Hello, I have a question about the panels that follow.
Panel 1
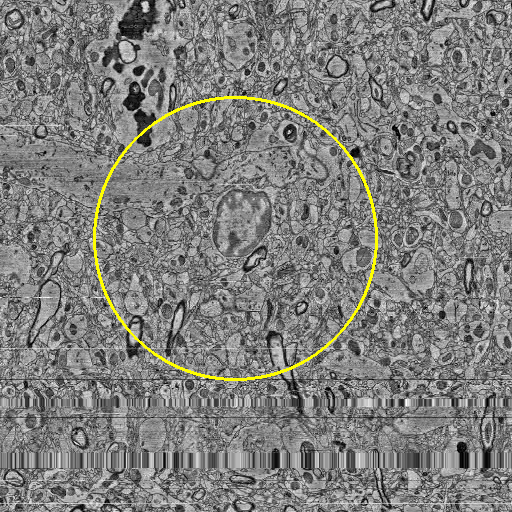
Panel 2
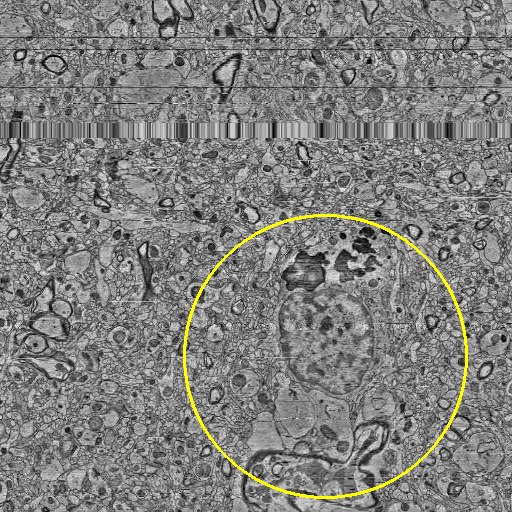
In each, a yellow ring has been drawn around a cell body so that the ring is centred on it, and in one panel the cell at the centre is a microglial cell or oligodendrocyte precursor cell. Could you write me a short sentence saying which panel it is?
It is Panel 1.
